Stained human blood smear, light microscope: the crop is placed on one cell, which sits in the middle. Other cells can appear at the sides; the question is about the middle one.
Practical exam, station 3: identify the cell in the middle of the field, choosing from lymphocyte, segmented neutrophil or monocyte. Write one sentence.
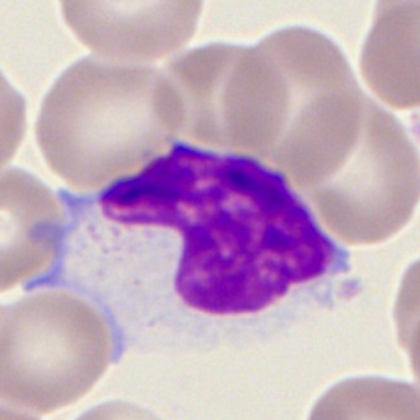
In the center of this field lies a lymphocyte.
